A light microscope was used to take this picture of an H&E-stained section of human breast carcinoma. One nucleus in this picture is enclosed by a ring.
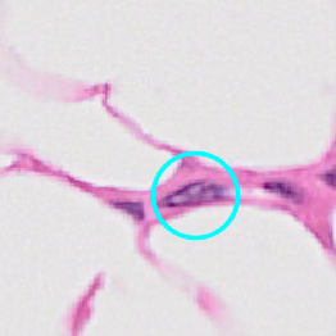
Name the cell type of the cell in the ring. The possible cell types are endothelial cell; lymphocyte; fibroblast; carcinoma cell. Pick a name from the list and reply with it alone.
endothelial cell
